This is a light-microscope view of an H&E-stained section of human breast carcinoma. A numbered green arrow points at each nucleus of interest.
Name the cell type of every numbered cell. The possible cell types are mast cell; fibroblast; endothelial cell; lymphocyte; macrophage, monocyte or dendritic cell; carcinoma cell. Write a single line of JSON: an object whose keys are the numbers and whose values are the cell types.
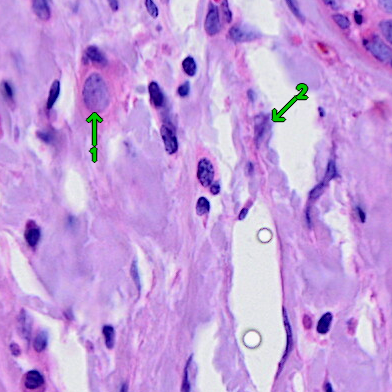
{"1": "endothelial cell", "2": "fibroblast"}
